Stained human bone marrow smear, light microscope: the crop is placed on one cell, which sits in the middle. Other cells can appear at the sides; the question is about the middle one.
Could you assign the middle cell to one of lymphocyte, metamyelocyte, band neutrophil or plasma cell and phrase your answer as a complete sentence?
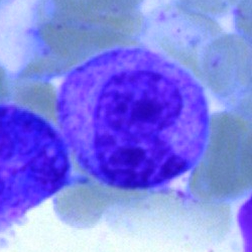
In this smear crop, the middle cell is a metamyelocyte.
